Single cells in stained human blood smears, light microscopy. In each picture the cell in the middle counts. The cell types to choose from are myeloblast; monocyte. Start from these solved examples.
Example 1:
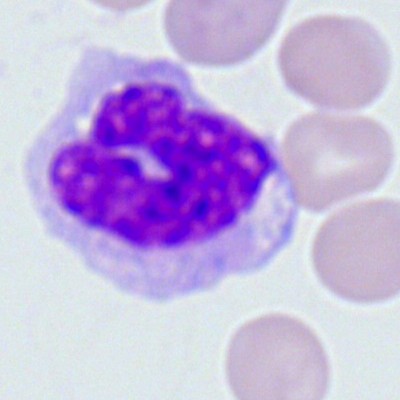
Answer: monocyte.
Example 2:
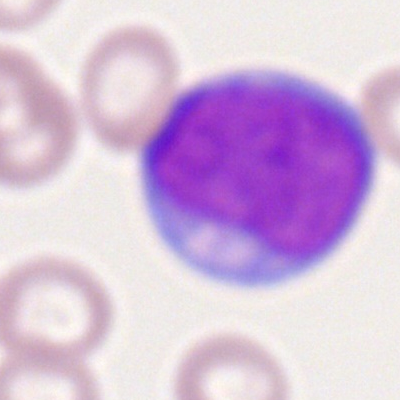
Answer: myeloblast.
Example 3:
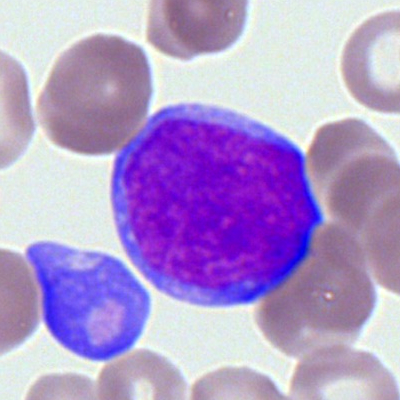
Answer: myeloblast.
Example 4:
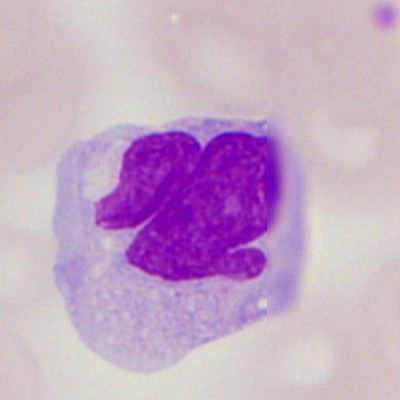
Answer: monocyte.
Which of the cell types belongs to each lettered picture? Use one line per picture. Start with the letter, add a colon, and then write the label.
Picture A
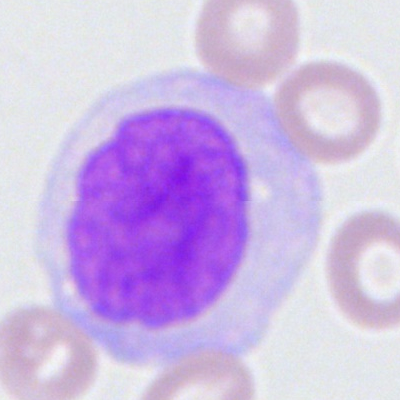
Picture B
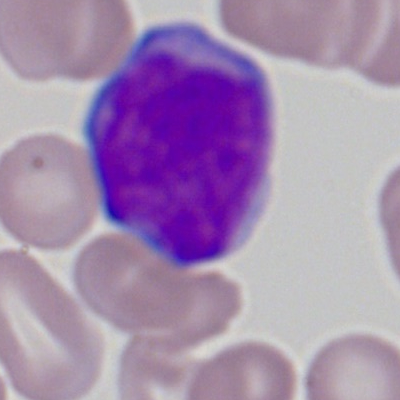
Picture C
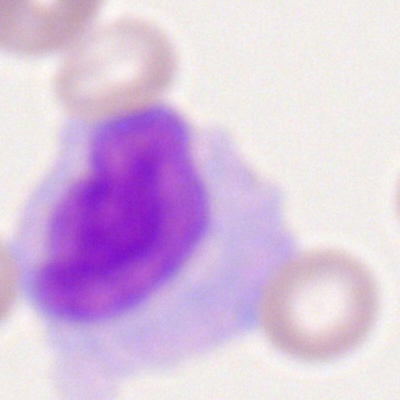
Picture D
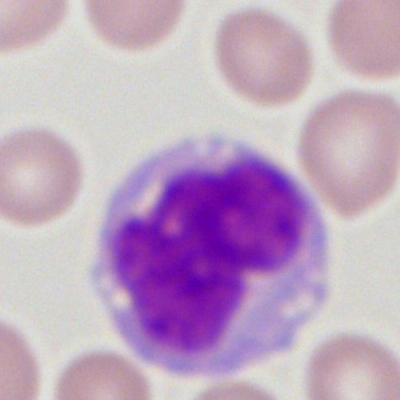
A: monocyte.
B: myeloblast.
C: monocyte.
D: monocyte.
